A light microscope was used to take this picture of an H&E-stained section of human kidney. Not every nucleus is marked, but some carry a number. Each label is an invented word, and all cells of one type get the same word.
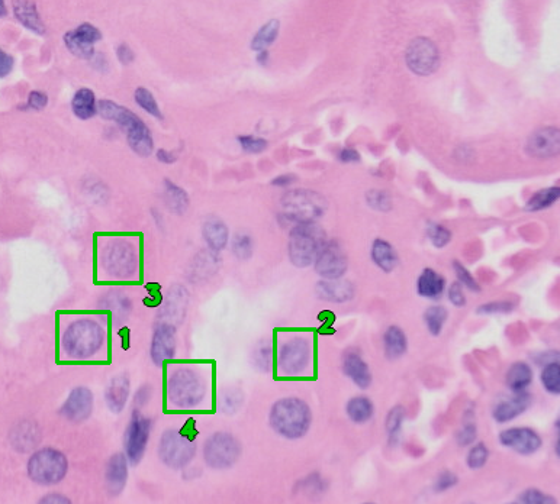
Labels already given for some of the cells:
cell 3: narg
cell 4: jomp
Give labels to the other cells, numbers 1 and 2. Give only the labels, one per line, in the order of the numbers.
narg
jomp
